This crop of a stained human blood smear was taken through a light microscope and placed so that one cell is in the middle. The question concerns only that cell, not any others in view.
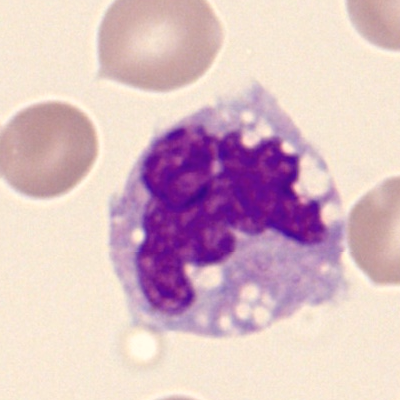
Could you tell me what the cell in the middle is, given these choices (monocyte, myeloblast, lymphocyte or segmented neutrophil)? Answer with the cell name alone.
monocyte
